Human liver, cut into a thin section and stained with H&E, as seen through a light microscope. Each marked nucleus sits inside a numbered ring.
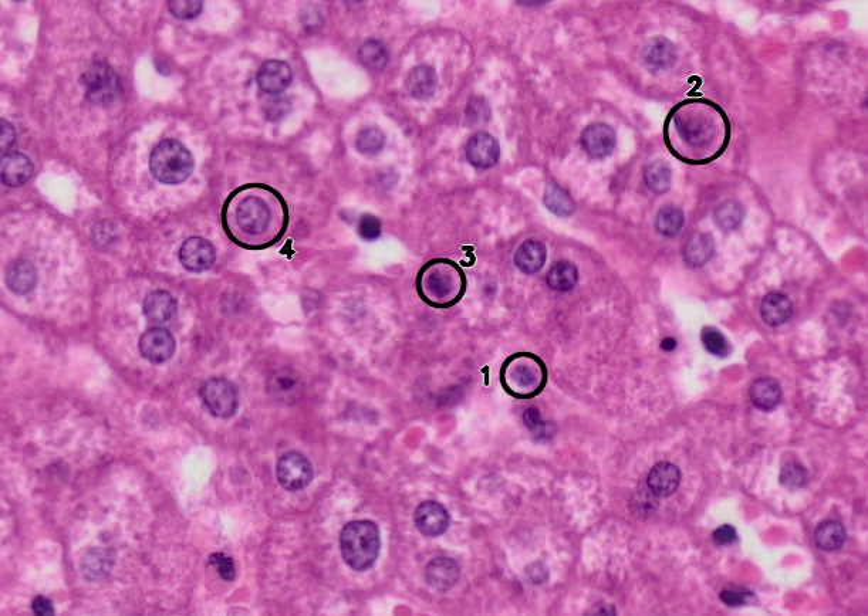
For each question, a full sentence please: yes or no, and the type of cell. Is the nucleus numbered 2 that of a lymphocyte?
No, it is a hepatocyte, not a lymphocyte, that number 2 marks.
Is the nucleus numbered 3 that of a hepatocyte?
No, the cell carrying number 3 is a fibroblast or stellate cell rather than a hepatocyte.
